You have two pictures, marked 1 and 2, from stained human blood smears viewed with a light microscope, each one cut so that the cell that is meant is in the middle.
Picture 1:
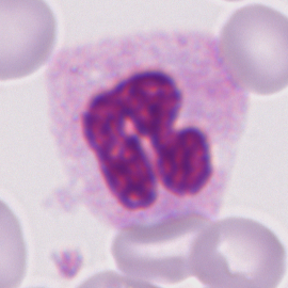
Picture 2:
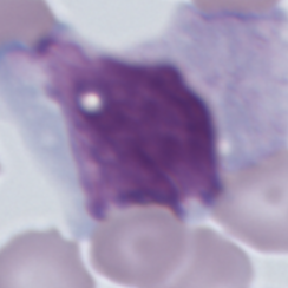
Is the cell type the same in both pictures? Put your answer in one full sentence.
No, the types are not the same, since picture 1 shows a segmented neutrophil and picture 2 a monocyte.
